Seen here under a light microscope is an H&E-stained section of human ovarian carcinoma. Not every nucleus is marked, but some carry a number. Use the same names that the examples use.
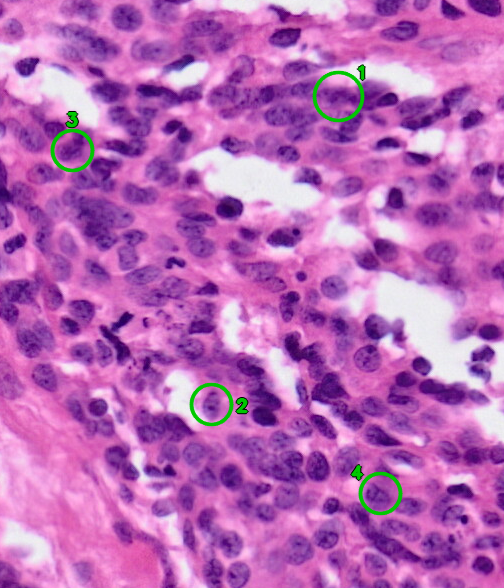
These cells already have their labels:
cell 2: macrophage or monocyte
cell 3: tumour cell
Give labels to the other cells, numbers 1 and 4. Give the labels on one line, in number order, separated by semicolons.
tumour cell; tumour cell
